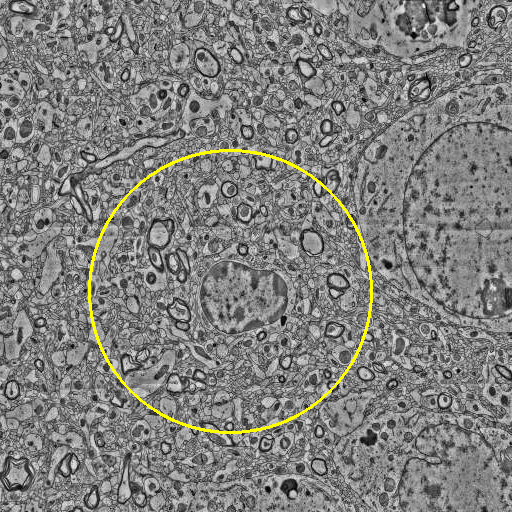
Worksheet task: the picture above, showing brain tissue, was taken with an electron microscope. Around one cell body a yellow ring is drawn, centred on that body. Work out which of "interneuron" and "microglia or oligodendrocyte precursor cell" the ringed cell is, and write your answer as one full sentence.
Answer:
It is a microglial cell or oligodendrocyte precursor cell whose cell body lies at the centre of the yellow ring.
